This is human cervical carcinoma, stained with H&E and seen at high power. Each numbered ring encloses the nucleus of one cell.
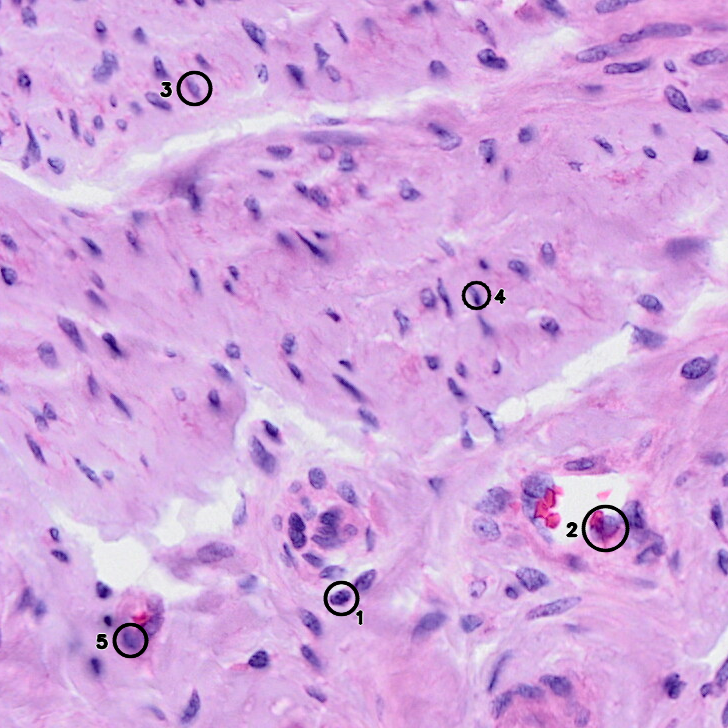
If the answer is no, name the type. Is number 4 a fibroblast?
Yes.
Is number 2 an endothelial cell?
Yes.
